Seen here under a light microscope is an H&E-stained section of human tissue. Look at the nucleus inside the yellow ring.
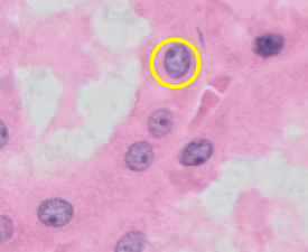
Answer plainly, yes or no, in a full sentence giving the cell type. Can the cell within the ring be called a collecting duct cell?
No, the cell within the ring is a proximal tubule cell and should not be read as a collecting duct cell.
